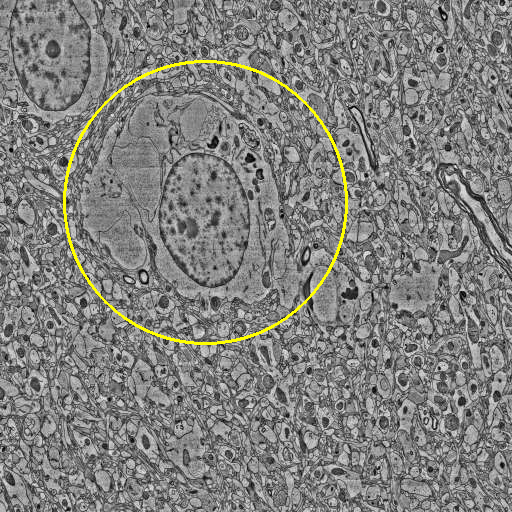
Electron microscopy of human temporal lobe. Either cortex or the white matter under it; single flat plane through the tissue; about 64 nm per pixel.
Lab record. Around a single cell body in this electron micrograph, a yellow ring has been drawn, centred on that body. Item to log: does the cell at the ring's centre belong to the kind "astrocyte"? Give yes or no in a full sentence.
Yes, in the micrograph, the ringed cell at the centre belongs to that kind.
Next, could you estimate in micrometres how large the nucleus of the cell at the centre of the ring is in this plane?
Approximately 9 micrometres long and 6 micrometres wide, in this plane.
